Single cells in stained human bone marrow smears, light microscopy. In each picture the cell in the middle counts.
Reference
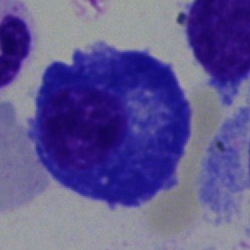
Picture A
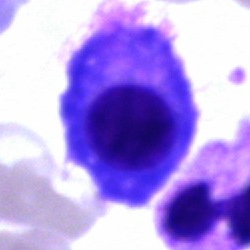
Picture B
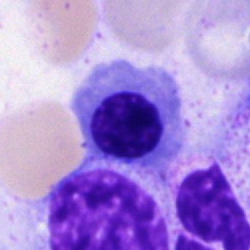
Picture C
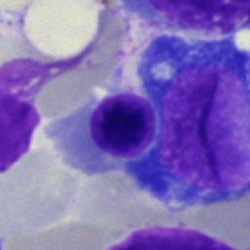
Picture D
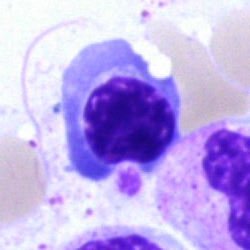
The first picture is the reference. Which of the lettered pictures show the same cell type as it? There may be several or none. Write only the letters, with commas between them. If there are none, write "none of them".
A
